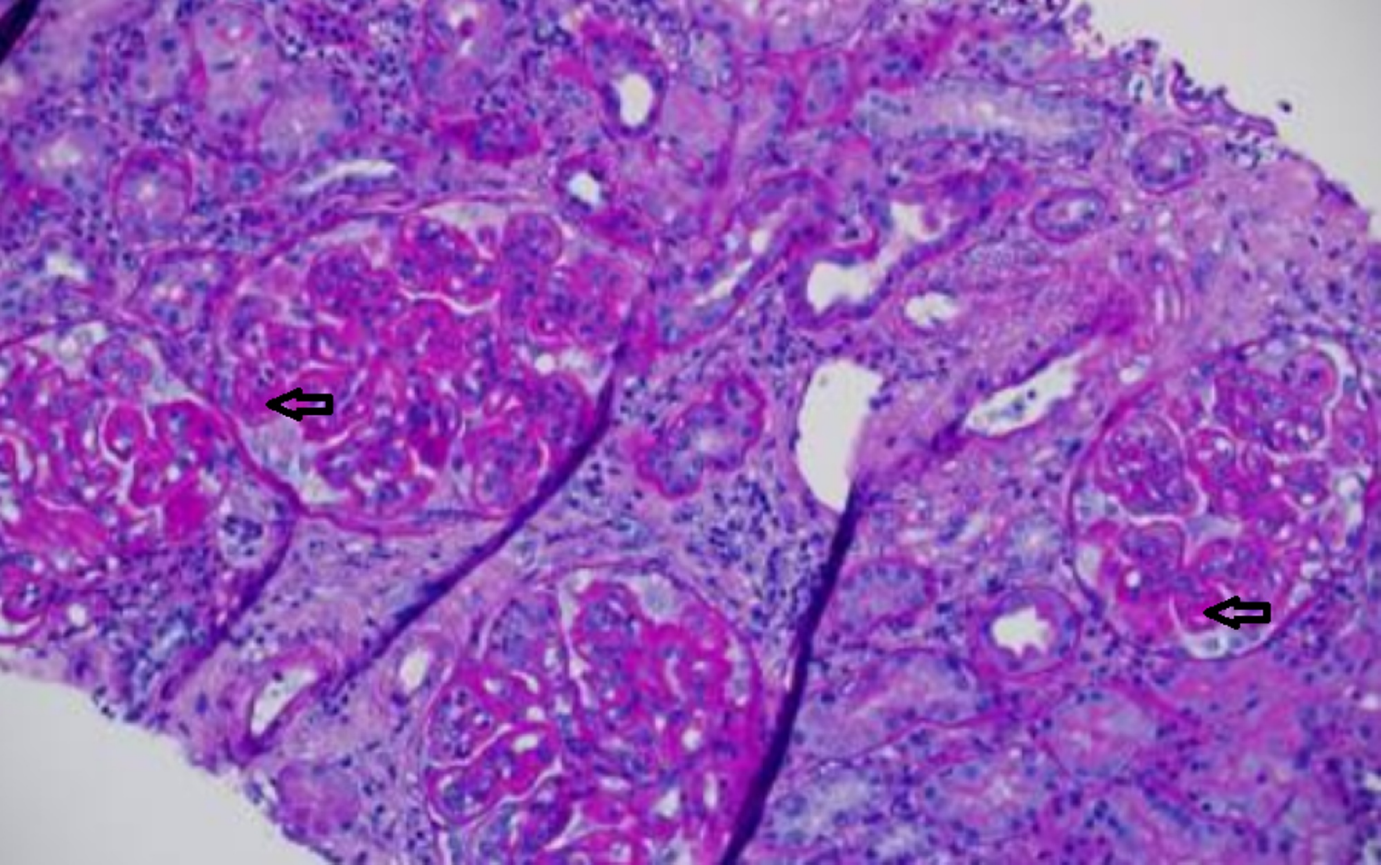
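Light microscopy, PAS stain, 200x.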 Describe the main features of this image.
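The capillary loops have broad, deep magenta outlines, so their walls look thickened and stiff, and few open capillary lumens remain. Some tubules are dilated and have flattened linings. The interstitium between the tubules is widened and holds many small, dark, round nuclei of inflammatory cells. A few dark lines cross the section; these are folds in the tissue, not structures of the kidney.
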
